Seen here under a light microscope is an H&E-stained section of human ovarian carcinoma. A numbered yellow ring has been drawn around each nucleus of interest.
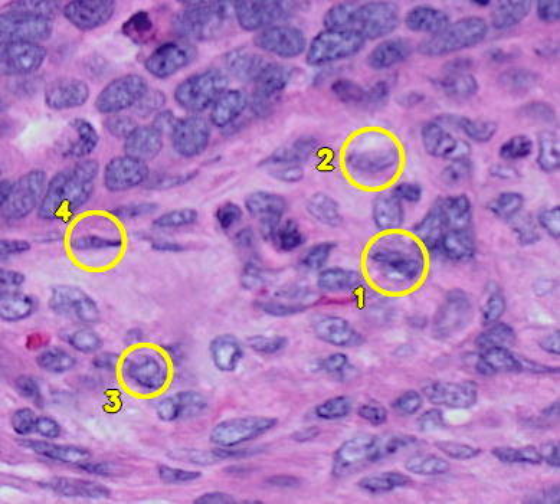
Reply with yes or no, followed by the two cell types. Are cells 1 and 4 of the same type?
No, cell 1 should be called an endothelial cell, and cell 4 should be called a fibroblast.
